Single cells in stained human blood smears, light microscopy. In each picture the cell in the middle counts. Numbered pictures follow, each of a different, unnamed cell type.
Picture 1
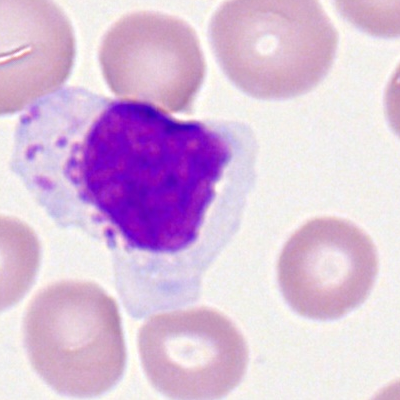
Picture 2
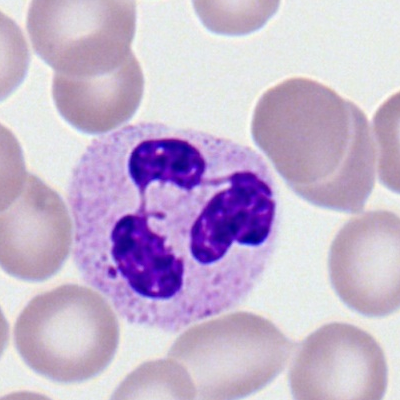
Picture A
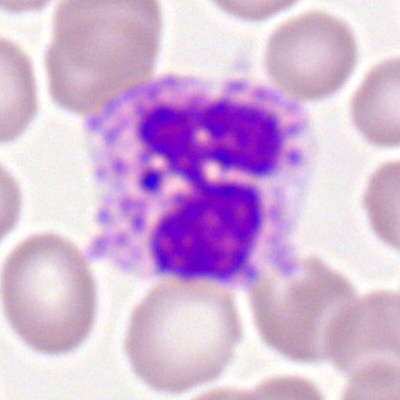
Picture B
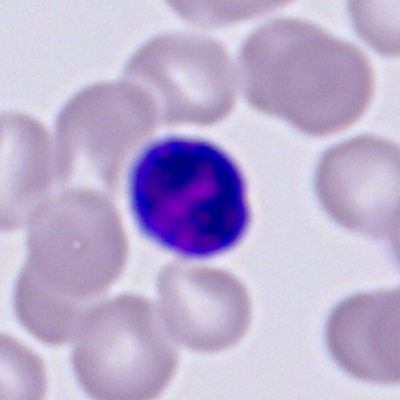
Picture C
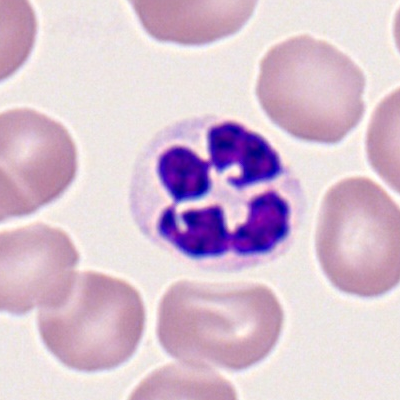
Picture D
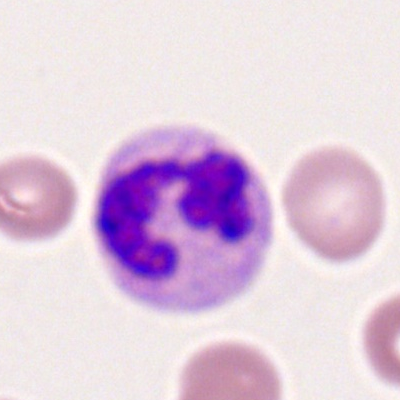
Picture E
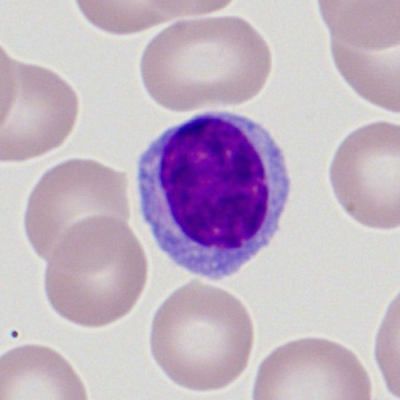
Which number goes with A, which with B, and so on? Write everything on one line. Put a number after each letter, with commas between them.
A 2, B 1, C 2, D 2, E 1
